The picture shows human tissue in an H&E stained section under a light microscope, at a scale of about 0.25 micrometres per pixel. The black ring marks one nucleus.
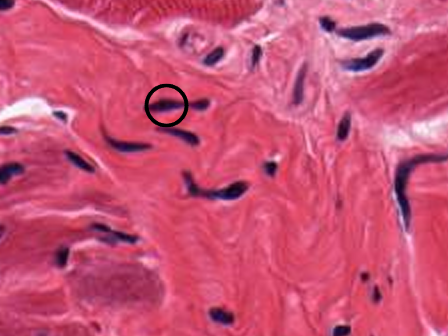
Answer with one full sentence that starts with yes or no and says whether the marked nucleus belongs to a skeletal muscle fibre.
No, belonging to a supporting cell, the marked nucleus is not part of a skeletal muscle fibre.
